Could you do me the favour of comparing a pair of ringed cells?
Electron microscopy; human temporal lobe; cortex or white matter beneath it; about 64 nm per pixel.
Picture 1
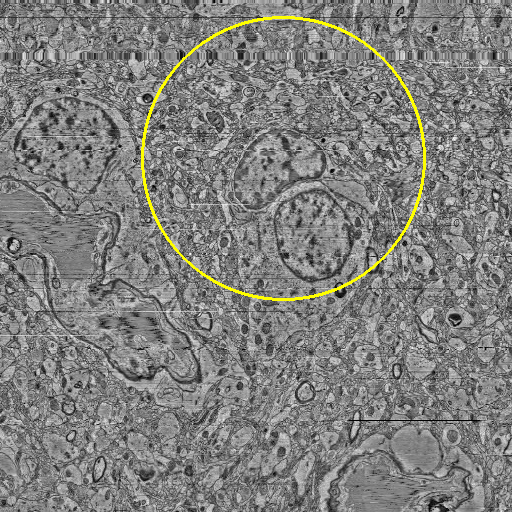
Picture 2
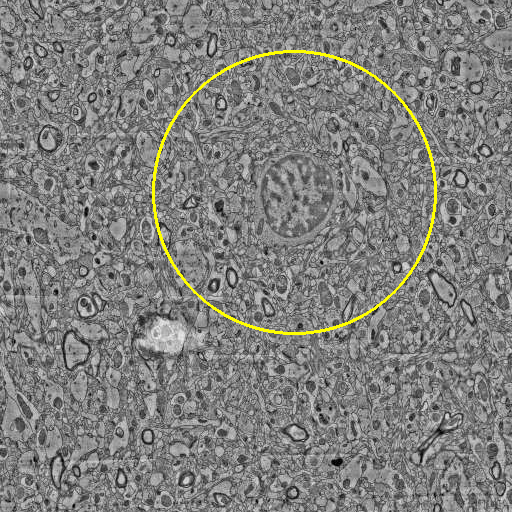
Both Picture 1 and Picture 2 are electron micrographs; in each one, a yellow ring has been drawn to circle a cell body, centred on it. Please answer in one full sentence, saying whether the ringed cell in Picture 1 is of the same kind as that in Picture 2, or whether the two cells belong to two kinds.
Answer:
The ringed cells in Picture 1 and Picture 2 belong to two kinds.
